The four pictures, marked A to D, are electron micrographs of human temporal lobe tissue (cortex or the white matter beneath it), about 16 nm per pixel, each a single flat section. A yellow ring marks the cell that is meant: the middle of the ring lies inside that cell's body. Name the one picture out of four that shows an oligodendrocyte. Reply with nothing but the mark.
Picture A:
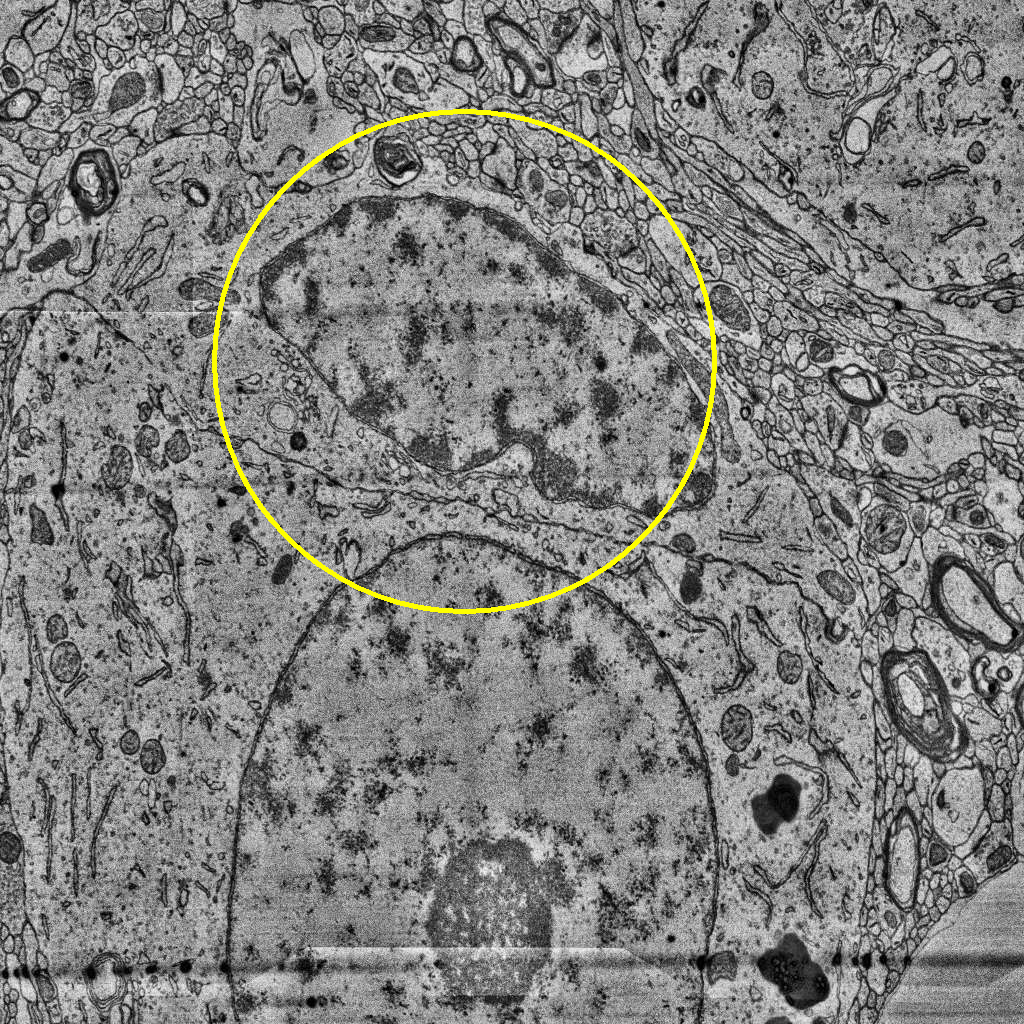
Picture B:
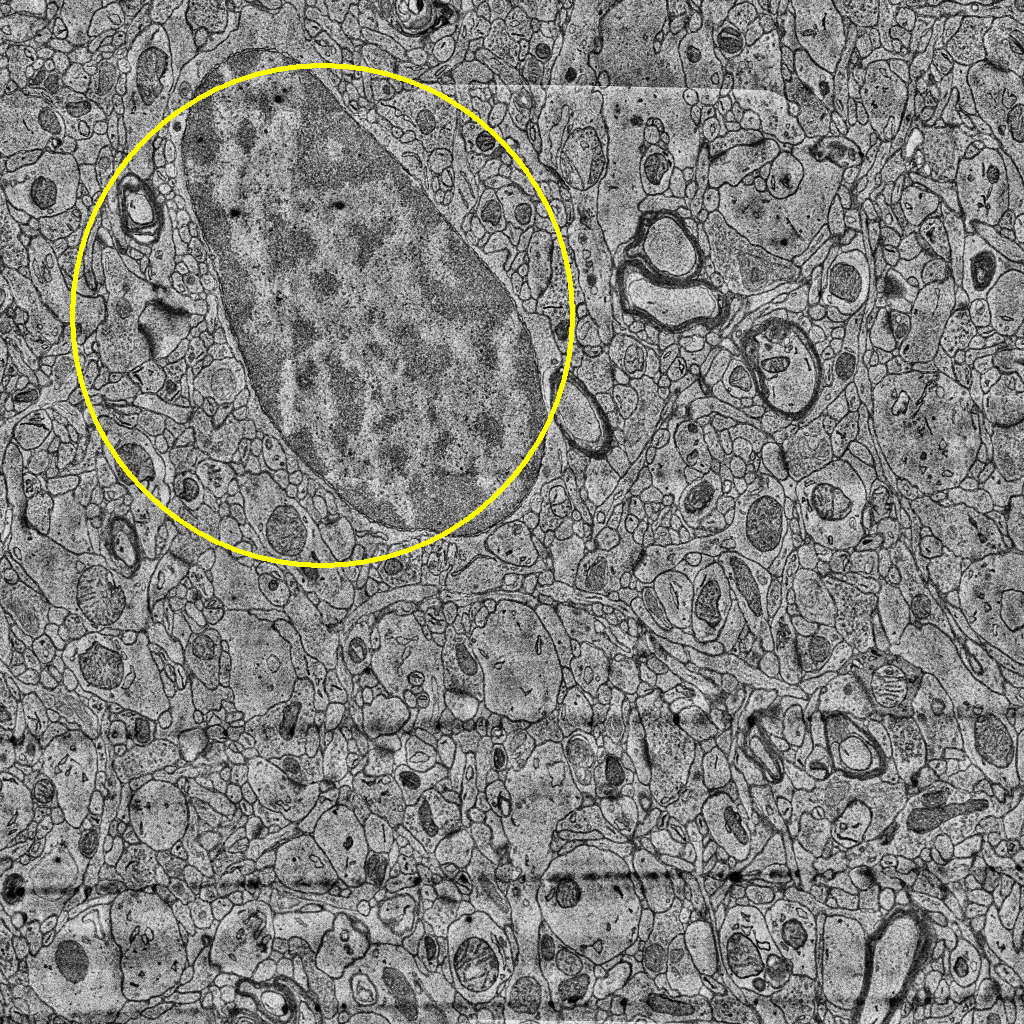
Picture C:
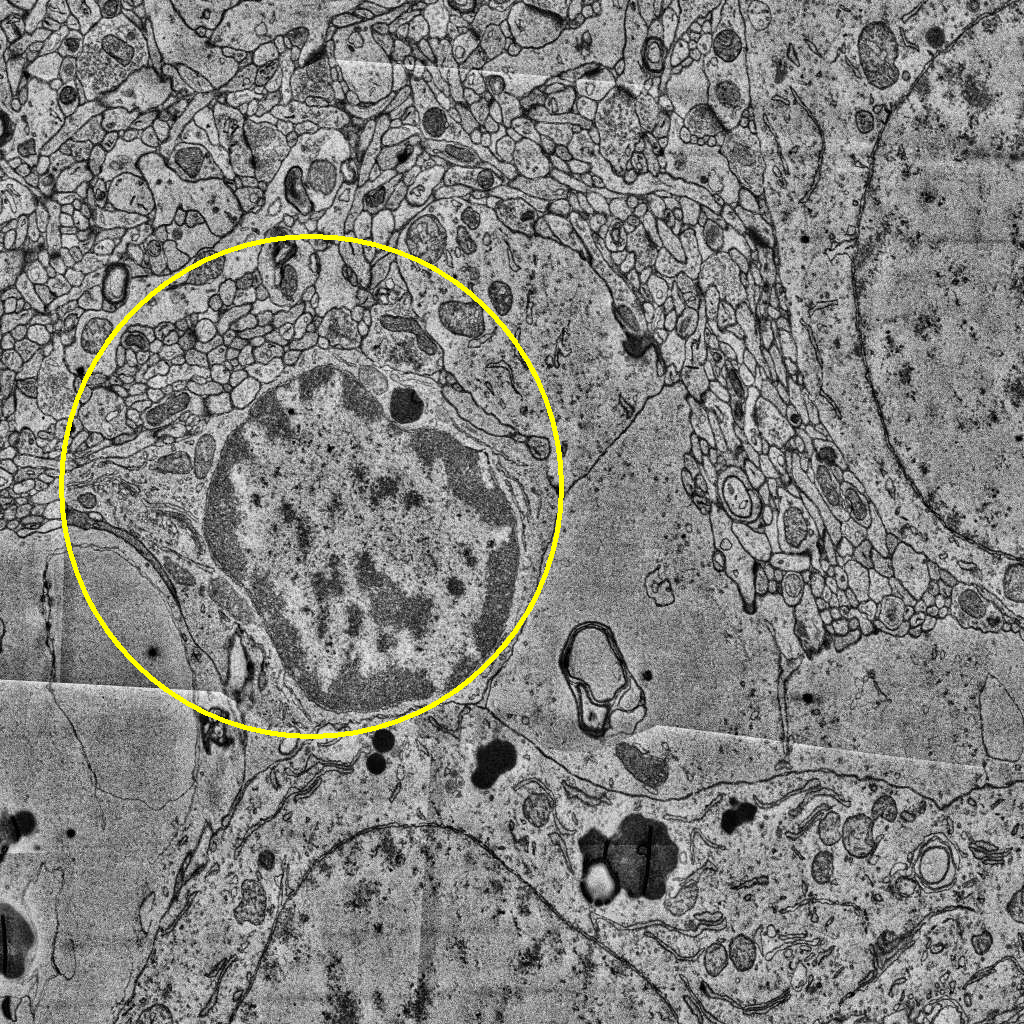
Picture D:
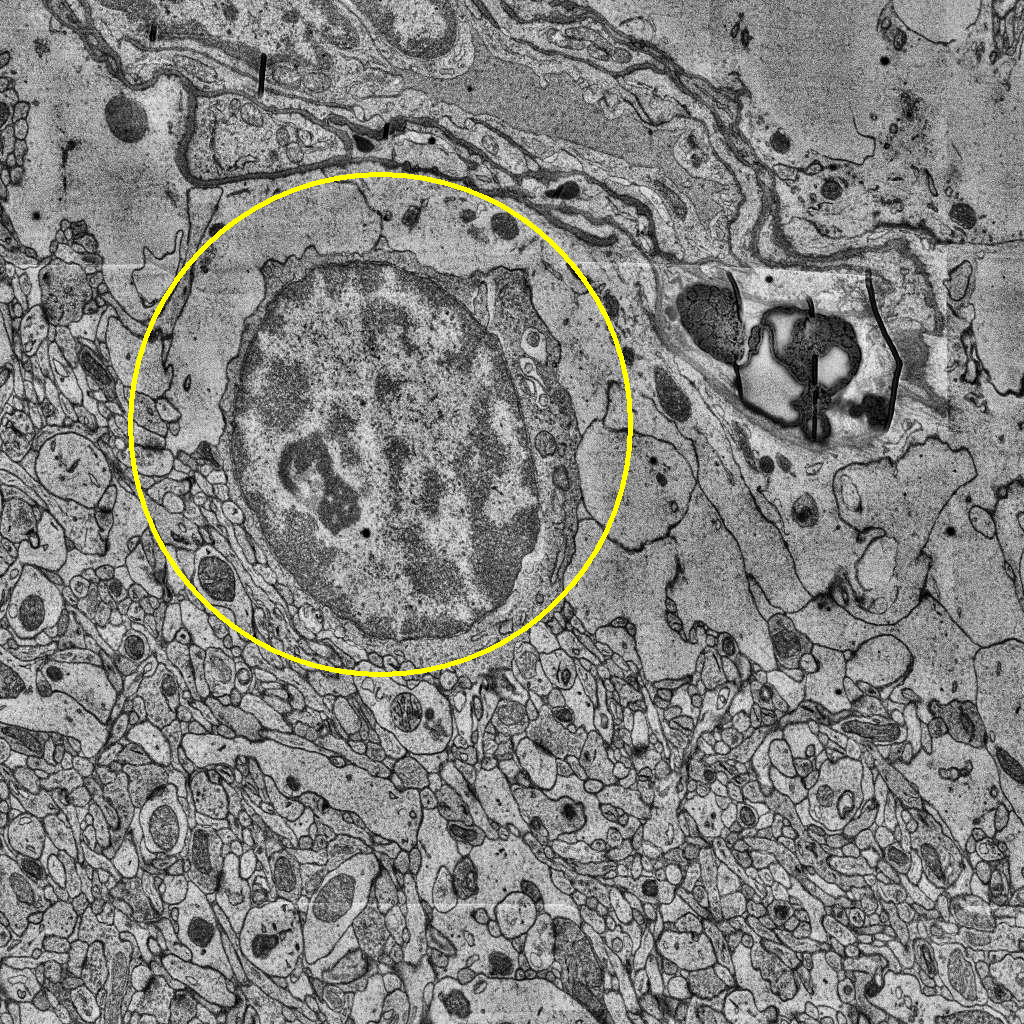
D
